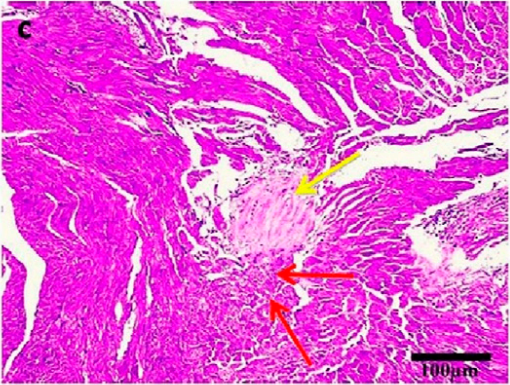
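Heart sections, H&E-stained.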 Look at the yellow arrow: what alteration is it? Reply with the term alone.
hyalinization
